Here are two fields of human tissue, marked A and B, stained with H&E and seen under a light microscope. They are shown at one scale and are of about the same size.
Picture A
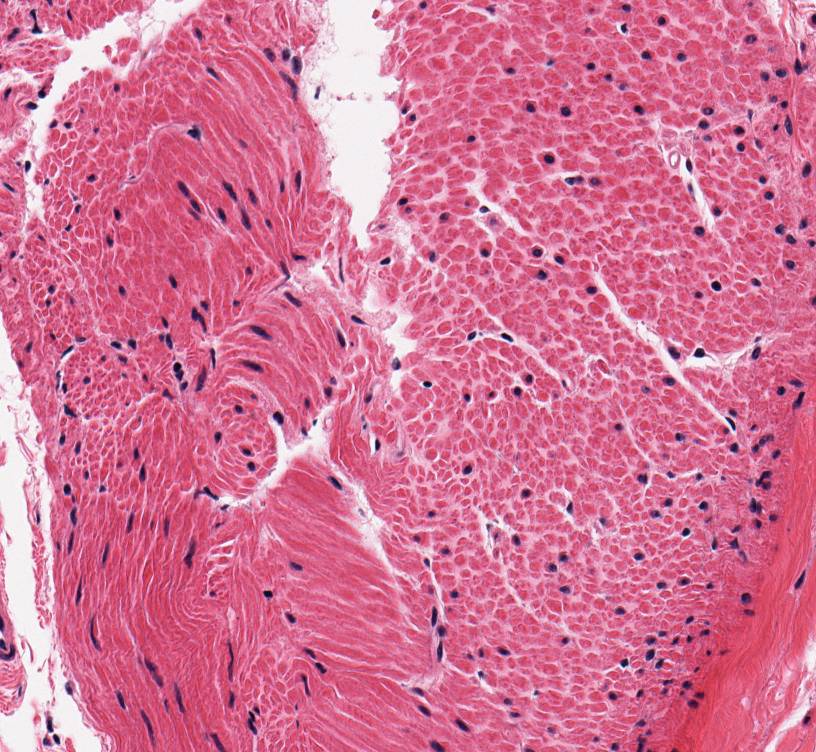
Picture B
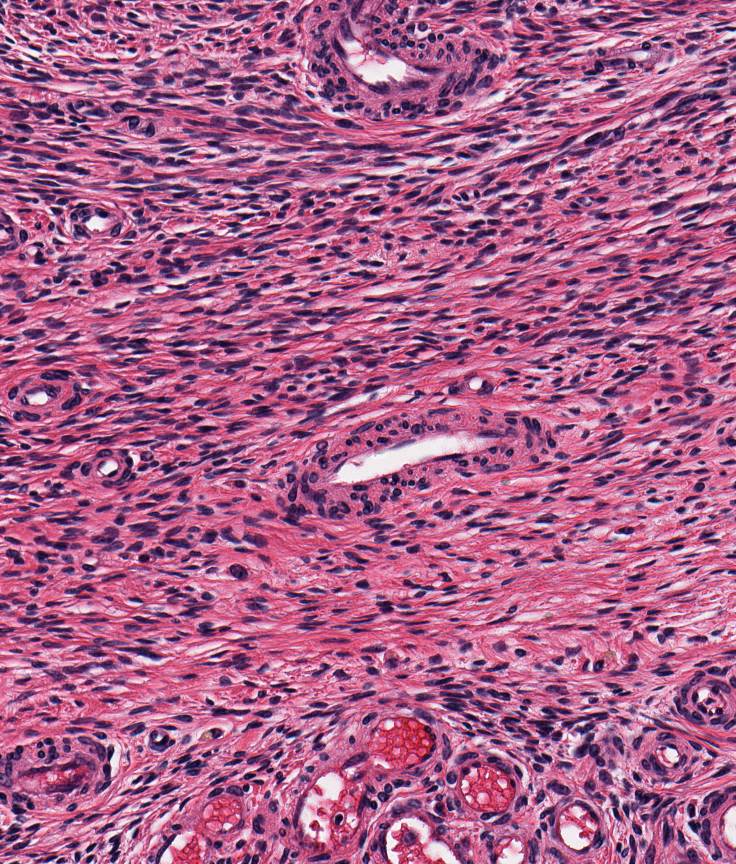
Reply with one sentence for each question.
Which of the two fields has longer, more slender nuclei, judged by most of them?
On the whole the nuclei of picture B are more drawn out than those of picture A.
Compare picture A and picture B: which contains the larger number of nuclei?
Picture B holds more nuclei than picture A.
